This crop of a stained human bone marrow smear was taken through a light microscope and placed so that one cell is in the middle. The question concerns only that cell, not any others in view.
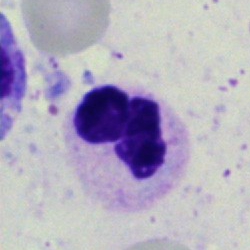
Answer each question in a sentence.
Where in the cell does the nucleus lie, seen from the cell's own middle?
The nucleus is pushed toward the top of the cell.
